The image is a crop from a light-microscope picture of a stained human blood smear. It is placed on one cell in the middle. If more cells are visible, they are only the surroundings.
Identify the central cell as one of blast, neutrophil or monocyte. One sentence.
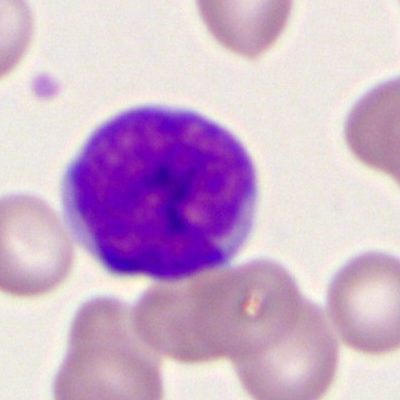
The cell around which this crop is centred is a blast.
